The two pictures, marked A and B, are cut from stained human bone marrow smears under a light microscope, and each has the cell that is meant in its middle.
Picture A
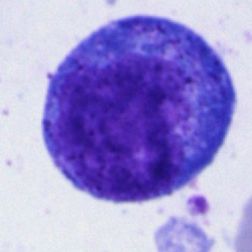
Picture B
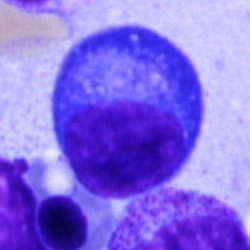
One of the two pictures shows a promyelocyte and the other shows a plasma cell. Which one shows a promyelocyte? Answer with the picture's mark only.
A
